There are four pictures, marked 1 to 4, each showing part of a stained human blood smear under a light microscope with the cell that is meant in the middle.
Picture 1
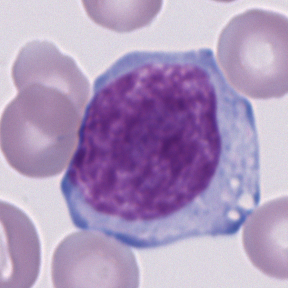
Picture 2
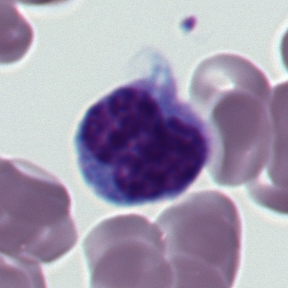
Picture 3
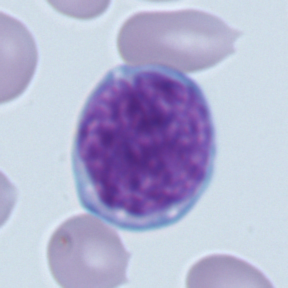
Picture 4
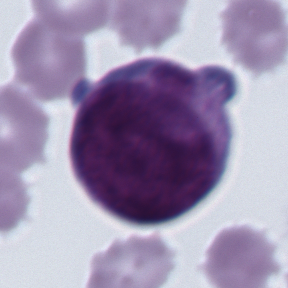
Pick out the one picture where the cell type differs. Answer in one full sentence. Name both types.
All pictures except 2 show myeloblasts; picture 2 shows a monocyte.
